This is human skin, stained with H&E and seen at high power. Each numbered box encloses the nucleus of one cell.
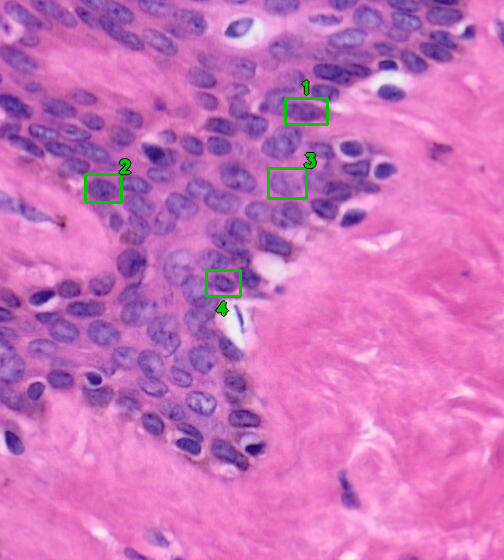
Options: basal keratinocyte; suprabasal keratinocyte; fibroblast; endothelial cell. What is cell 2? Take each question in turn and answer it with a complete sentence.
To a basal keratinocyte belongs the nucleus marked 2.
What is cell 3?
Here, the cell given the number 3 is a suprabasal keratinocyte.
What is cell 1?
Nucleus 1 in this section belongs to a basal keratinocyte.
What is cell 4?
What the number 4 marks in this field is a basal keratinocyte.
